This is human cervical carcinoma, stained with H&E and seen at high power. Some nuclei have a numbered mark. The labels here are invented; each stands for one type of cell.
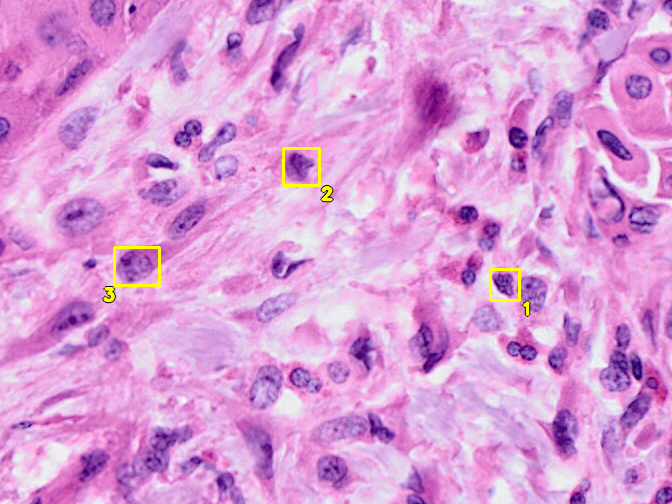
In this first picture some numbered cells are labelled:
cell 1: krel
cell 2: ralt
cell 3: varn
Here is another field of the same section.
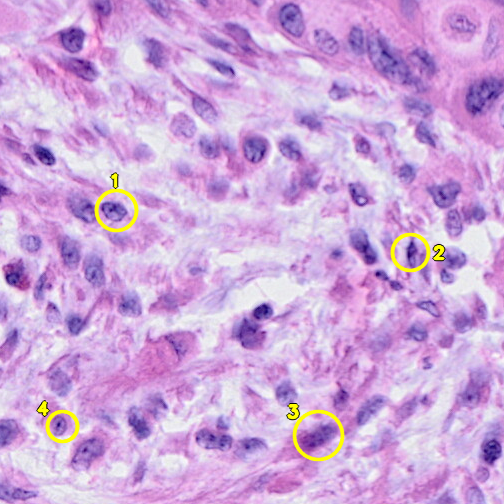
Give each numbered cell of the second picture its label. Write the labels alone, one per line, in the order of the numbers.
krel
varn
varn
ralt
